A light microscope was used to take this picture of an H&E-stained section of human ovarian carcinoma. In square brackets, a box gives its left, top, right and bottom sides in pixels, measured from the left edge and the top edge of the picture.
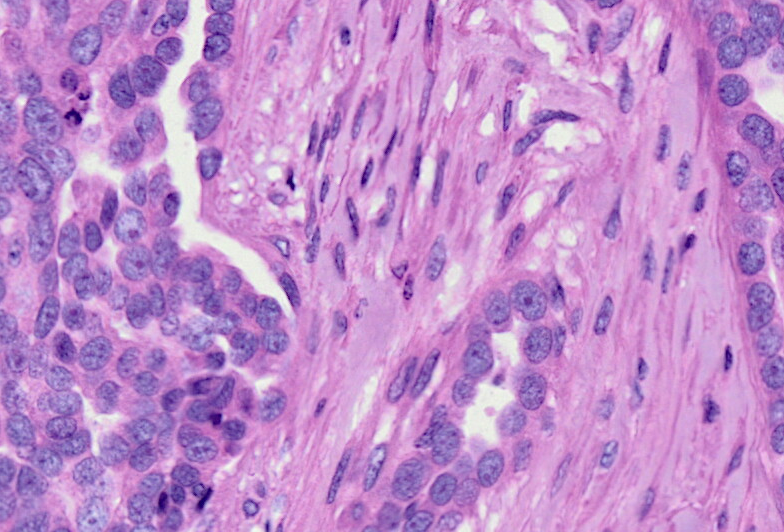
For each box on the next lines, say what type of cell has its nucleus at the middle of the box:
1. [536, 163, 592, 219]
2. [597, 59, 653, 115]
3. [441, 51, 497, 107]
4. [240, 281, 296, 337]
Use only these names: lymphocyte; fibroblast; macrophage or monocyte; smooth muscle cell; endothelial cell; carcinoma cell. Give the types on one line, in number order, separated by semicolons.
fibroblast; fibroblast; fibroblast; carcinoma cell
